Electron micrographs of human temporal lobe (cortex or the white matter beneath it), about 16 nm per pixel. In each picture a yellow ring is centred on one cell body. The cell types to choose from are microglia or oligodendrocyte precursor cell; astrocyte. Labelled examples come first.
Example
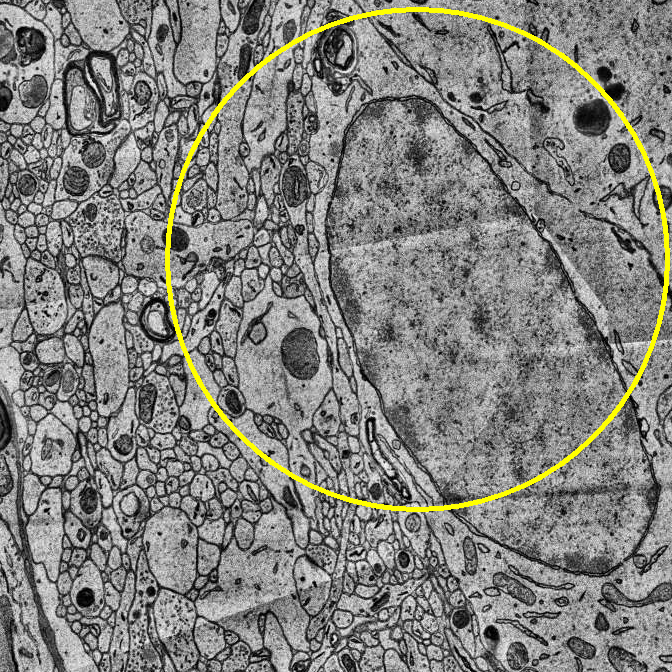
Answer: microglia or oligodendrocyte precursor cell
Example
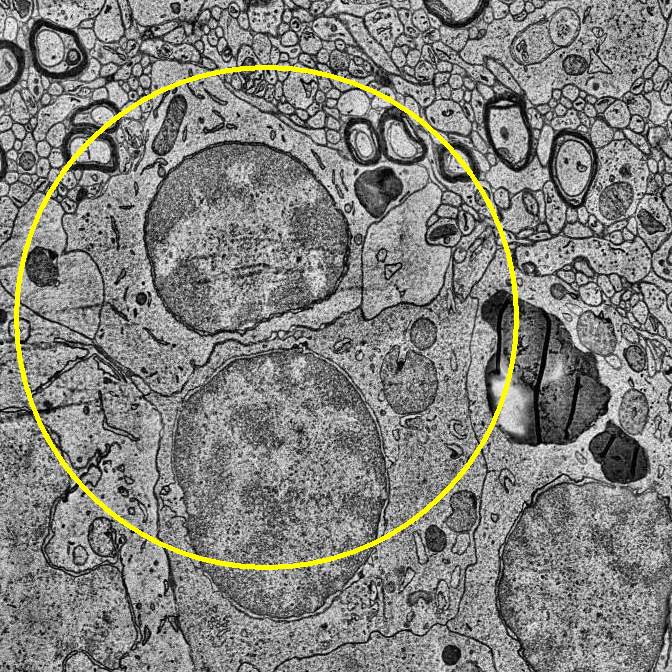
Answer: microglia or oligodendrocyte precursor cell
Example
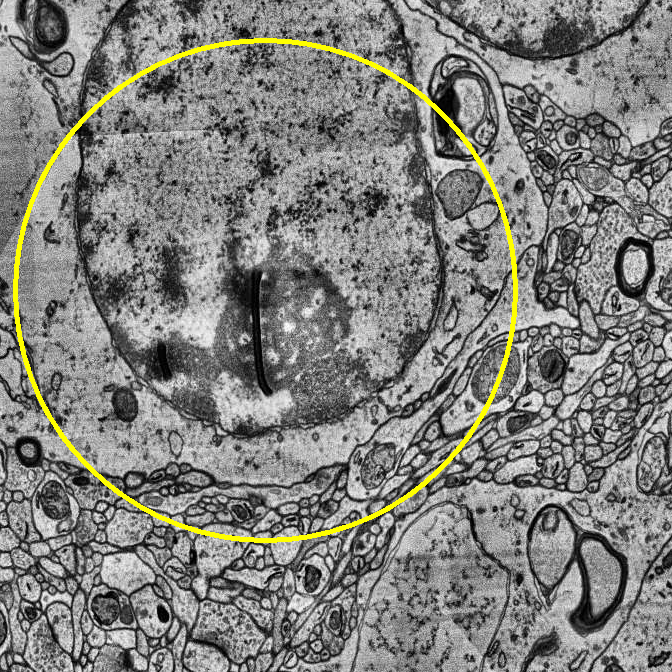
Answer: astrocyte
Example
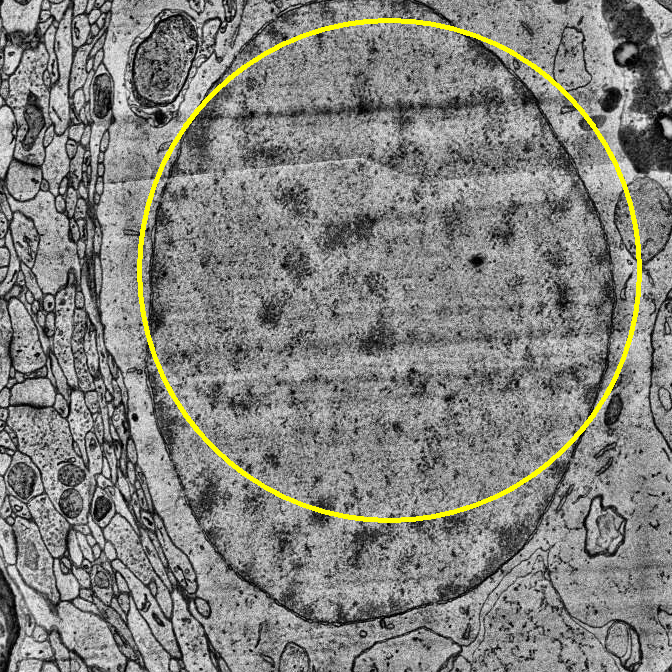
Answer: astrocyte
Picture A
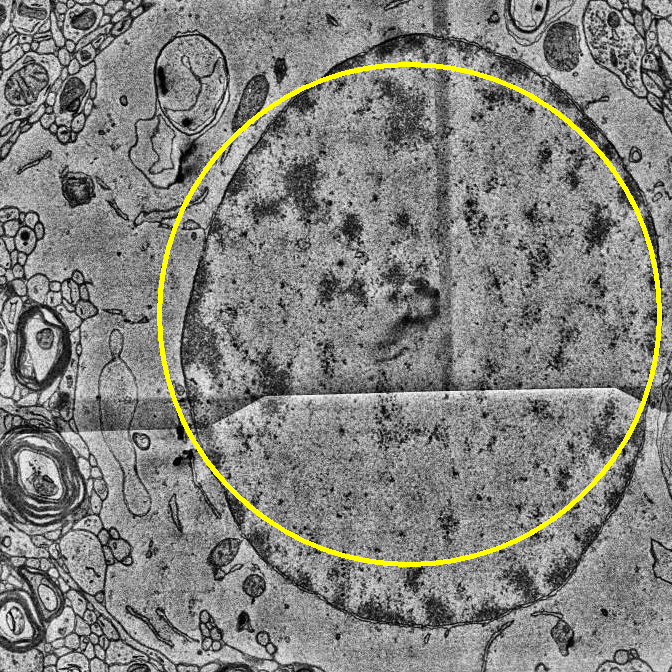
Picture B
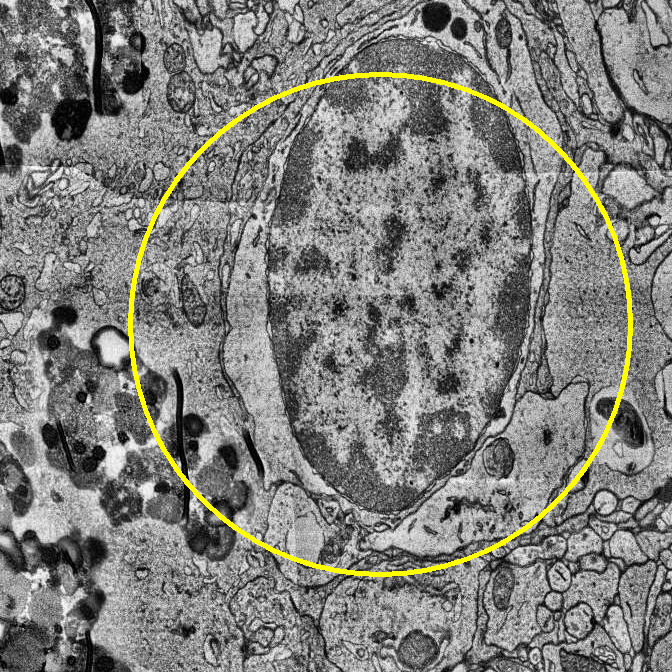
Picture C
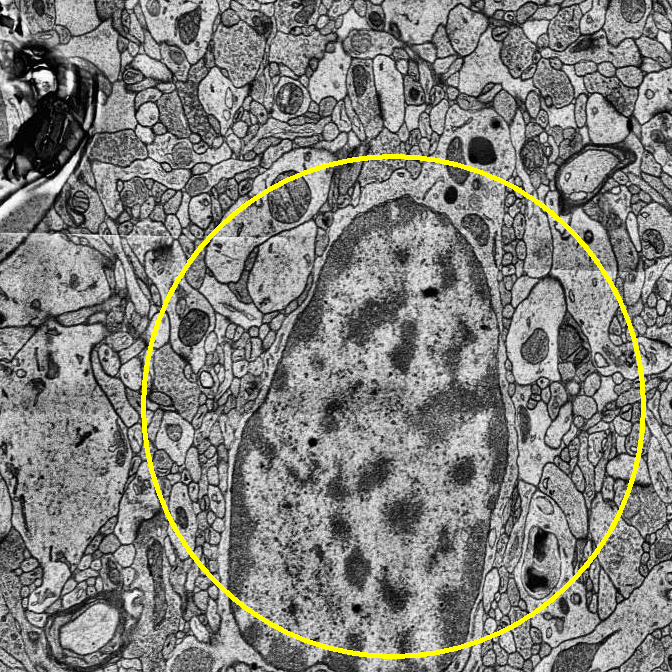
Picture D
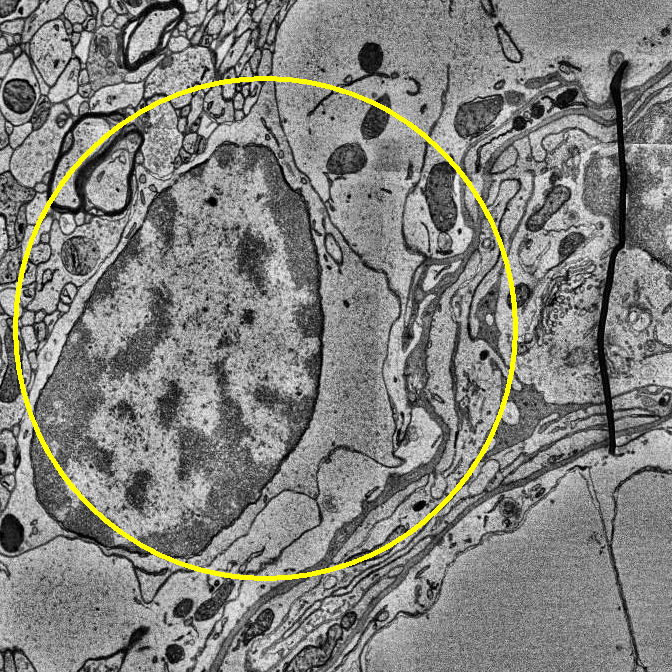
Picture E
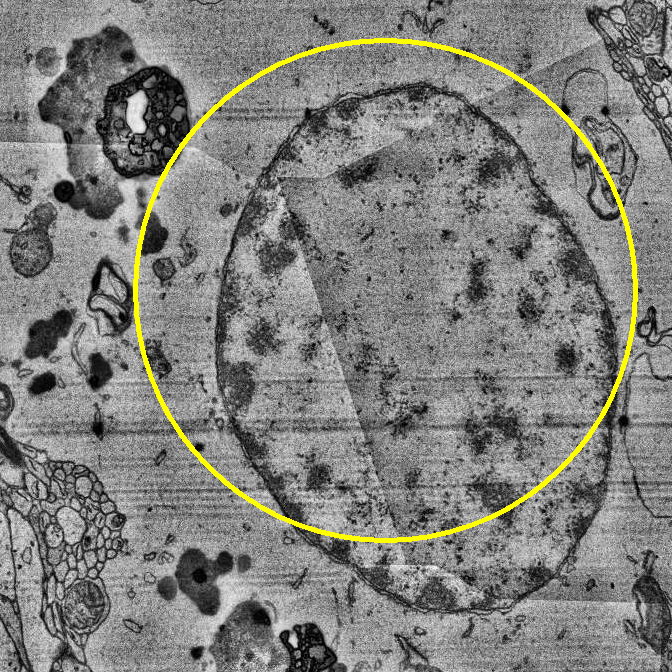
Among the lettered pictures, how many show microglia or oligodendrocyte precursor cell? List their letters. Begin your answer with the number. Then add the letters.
3: B, C, D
